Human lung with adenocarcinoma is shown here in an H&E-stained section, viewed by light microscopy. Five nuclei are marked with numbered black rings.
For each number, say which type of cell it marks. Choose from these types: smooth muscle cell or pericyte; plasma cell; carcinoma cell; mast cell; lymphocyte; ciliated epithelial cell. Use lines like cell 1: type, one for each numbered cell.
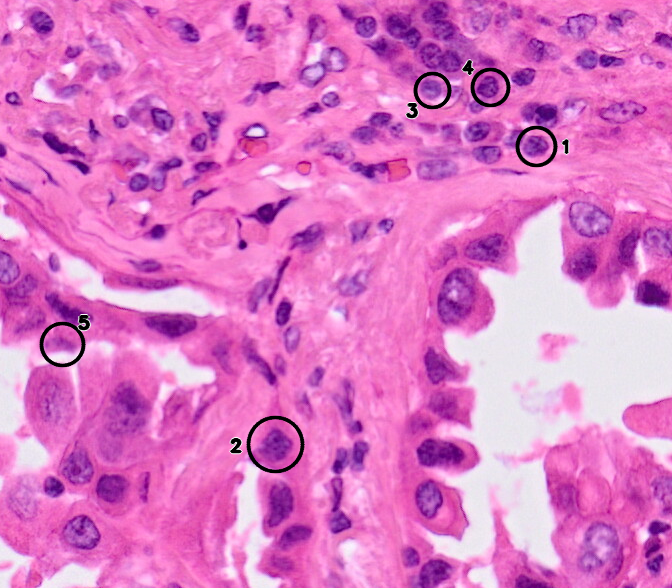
cell 1: lymphocyte
cell 2: carcinoma cell
cell 3: lymphocyte
cell 4: plasma cell
cell 5: carcinoma cell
